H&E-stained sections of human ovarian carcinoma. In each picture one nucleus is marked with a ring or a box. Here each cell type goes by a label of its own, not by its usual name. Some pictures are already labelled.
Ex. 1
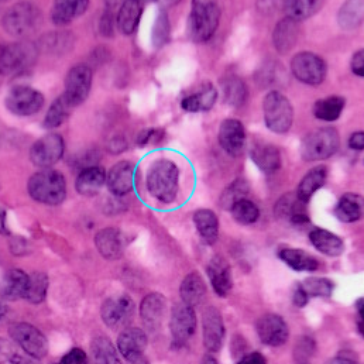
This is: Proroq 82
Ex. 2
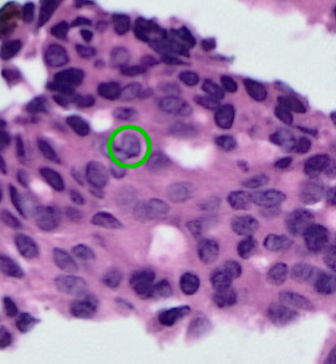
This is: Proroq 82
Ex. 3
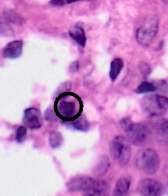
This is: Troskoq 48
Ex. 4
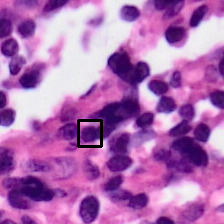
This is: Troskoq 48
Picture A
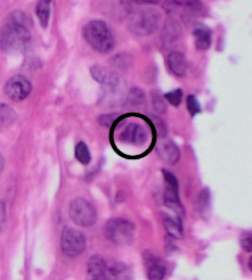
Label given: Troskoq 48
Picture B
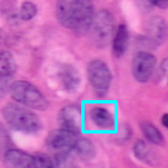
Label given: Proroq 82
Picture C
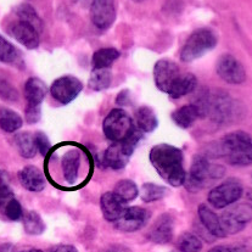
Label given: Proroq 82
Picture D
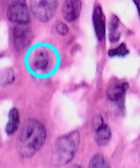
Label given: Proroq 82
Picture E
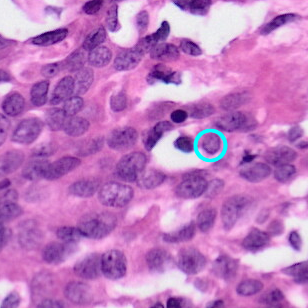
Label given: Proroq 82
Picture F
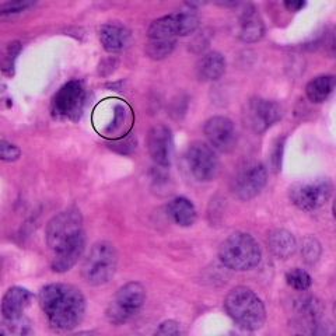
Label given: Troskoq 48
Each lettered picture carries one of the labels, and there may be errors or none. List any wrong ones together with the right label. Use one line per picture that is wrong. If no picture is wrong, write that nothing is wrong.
F: change Troskoq 48 to Proroq 82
